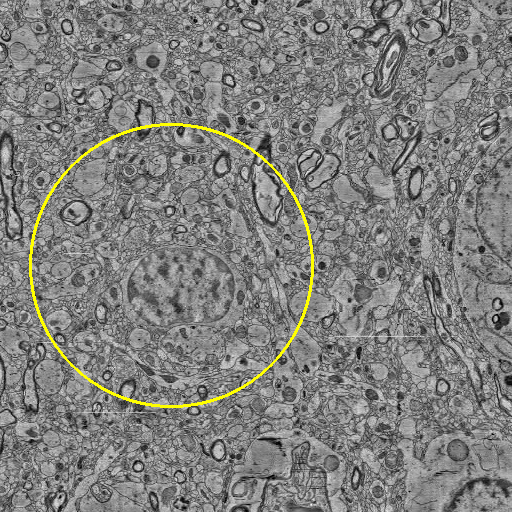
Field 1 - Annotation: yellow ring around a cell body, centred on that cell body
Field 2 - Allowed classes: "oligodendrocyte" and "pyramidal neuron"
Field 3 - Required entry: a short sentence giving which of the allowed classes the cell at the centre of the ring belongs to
The centred cell is an oligodendrocyte.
